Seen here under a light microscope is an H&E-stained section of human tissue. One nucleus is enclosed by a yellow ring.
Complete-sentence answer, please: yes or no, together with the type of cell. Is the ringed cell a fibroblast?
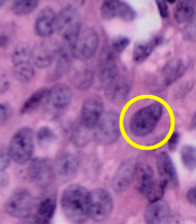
No, the ringed cell is regarded as a carcinoma cell rather than a fibroblast.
